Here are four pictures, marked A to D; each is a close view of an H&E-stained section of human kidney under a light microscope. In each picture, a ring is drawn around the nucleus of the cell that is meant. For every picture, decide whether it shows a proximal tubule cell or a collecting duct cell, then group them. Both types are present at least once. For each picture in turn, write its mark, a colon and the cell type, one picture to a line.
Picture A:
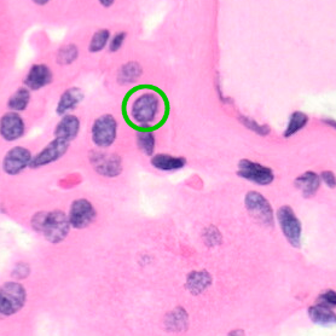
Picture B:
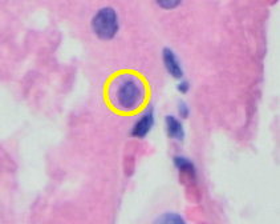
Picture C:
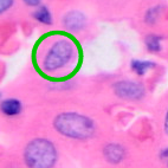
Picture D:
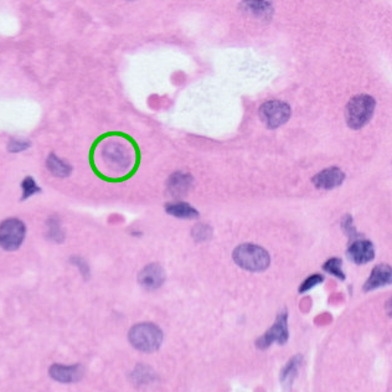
A: collecting duct cell
B: proximal tubule cell
C: collecting duct cell
D: proximal tubule cell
